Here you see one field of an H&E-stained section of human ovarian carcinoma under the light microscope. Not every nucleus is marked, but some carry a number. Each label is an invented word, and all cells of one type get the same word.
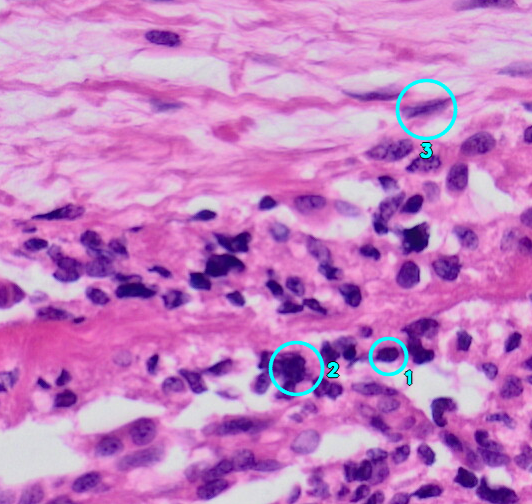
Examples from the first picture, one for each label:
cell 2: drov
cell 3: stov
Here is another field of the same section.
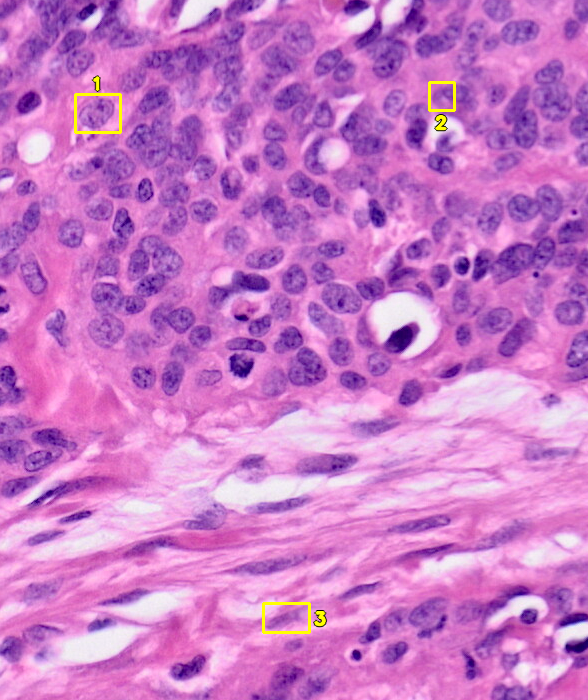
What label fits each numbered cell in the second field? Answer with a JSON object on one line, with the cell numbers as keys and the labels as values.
{"1": "drov", "2": "drov", "3": "stov"}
